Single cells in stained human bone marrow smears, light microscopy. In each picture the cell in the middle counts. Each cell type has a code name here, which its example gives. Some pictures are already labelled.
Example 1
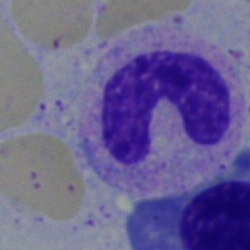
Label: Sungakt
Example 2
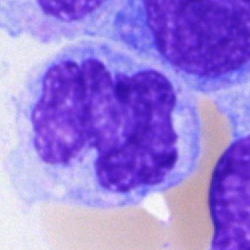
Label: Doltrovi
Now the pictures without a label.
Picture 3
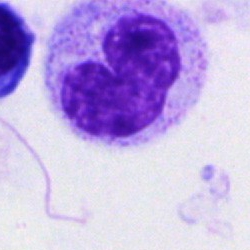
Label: Sungakt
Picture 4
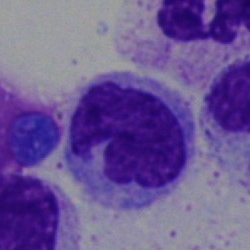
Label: Doltrovi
